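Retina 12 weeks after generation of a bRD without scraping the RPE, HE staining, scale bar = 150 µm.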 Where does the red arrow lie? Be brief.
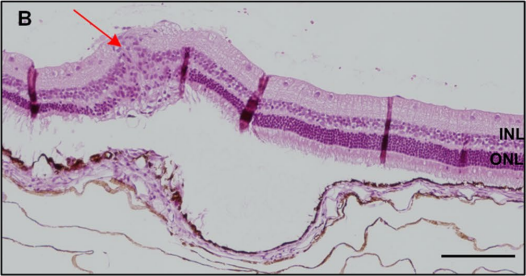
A: subretinal injection site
